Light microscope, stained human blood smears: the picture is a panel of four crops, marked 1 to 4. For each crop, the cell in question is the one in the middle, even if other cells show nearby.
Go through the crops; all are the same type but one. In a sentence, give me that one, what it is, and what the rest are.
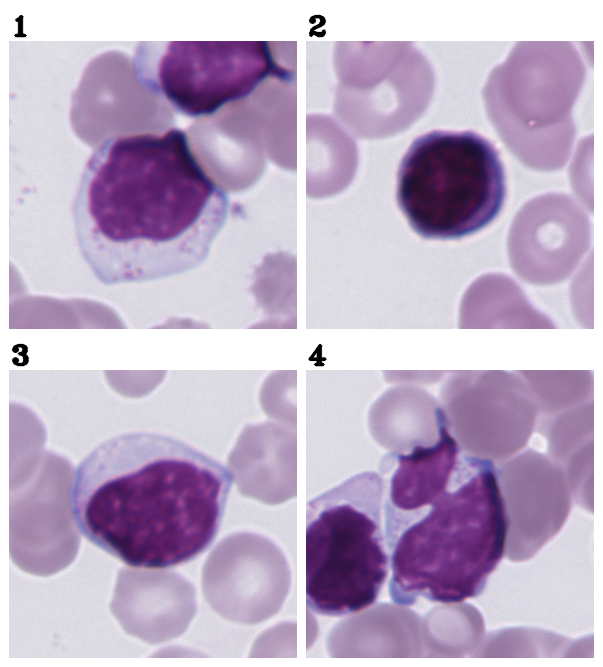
Crop 2 shows a typical lymphocyte, while all of the others show large granular lymphocytes.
